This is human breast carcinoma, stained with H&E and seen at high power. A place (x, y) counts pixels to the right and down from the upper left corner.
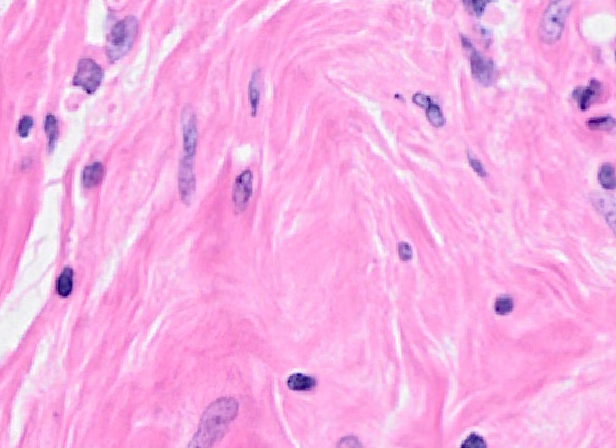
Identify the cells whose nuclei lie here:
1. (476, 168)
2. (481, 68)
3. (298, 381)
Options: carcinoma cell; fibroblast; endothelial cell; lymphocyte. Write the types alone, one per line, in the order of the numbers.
fibroblast
fibroblast
lymphocyte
